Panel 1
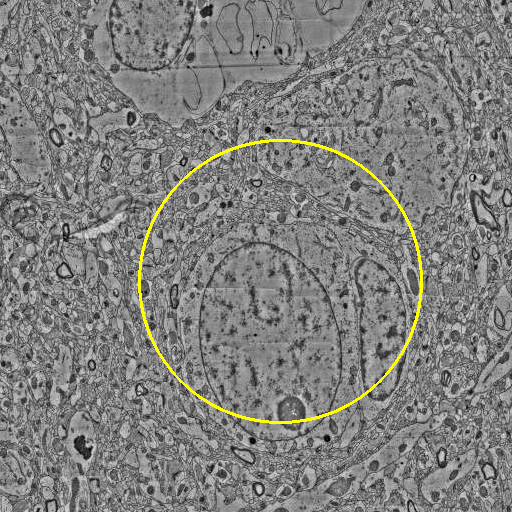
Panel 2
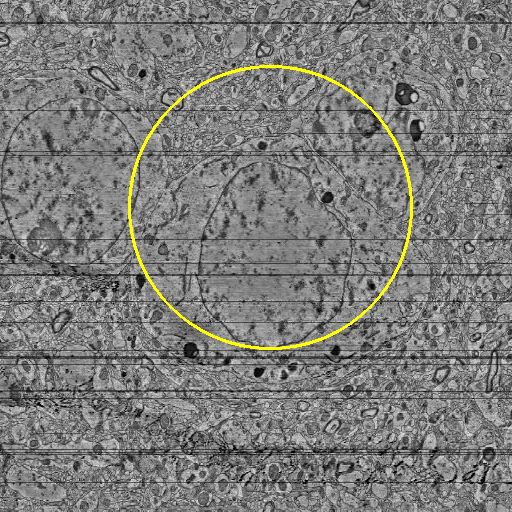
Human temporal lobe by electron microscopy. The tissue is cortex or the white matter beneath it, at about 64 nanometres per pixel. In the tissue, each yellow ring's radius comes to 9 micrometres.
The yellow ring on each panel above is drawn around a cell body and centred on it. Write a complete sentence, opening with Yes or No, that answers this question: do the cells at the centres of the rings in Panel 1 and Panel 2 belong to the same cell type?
Yes, both cells belong to the same cell type.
